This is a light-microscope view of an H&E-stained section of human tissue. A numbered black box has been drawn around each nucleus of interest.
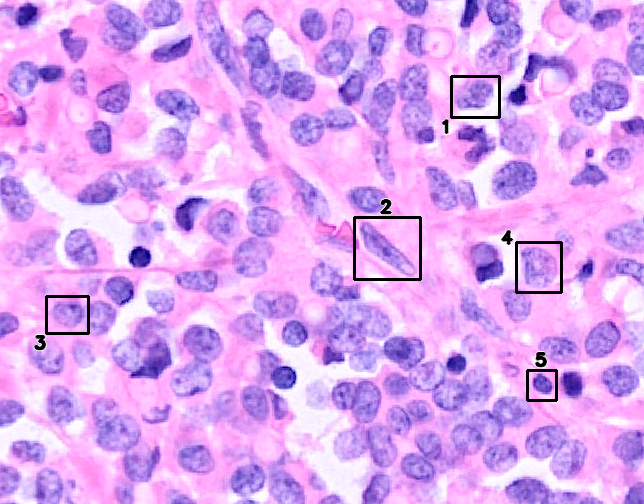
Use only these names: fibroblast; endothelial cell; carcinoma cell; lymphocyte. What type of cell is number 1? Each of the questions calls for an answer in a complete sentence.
The correct answer for cell 1 is a carcinoma cell.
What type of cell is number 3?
The cell to which the number 3 is assigned is a carcinoma cell.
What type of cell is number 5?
The cell given label 5 is a lymphocyte.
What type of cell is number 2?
The correct label for cell 2 is an endothelial cell.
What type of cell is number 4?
Number 4 is placed on a carcinoma cell here.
